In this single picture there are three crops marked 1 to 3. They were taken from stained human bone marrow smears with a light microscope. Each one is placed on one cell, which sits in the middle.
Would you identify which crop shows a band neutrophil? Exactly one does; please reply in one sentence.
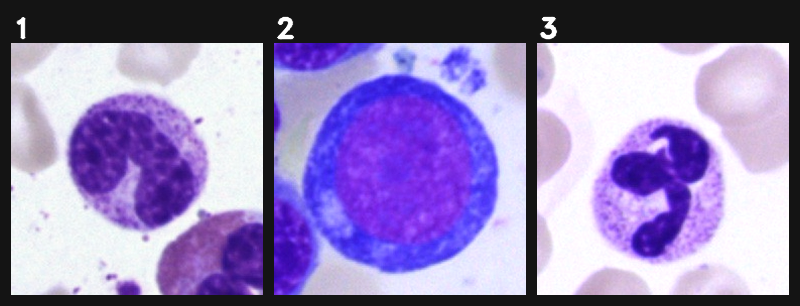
Of the crops shown, crop 1 depicts a band neutrophil.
